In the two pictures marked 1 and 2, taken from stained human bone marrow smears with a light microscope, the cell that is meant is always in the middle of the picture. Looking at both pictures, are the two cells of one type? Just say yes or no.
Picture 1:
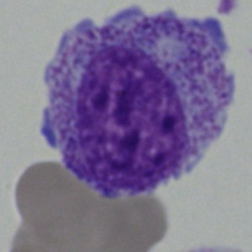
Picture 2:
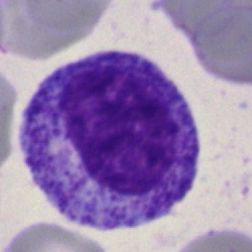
no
